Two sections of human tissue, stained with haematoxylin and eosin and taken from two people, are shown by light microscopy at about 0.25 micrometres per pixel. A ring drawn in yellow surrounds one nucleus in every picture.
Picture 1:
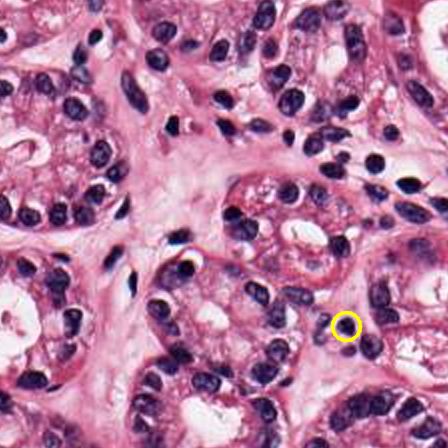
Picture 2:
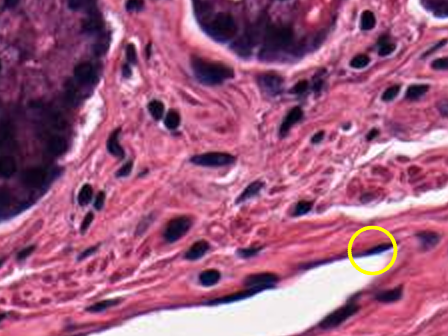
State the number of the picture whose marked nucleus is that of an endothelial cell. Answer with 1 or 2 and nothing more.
2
